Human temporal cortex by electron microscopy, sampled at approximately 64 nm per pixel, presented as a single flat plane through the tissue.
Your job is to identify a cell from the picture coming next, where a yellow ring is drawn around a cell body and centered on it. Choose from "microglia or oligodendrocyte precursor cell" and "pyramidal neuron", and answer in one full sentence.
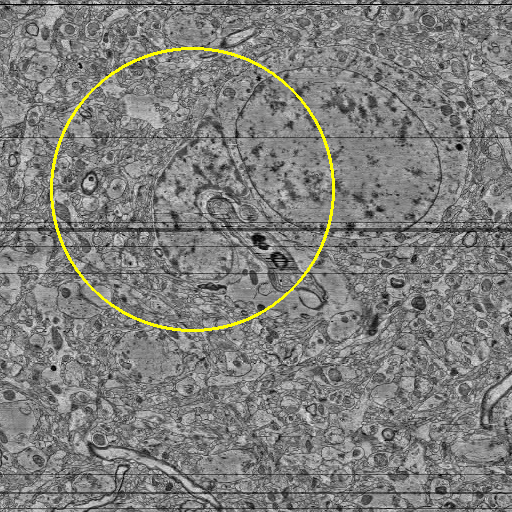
Centered in the yellow ring of the picture is the body of a microglial cell or oligodendrocyte precursor cell.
